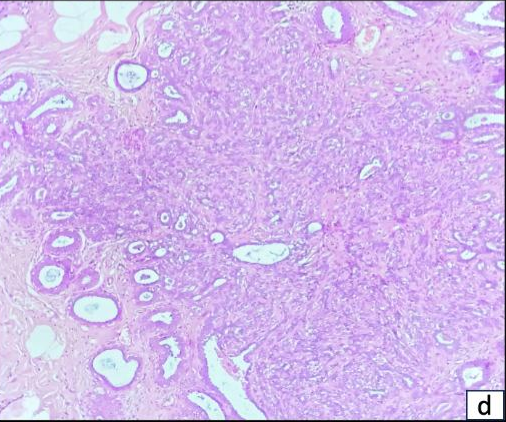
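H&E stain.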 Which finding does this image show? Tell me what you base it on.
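Sclerosing adenosis. Many small glands are crowded together. Some glands are compressed and distorted into cords. Dense pink stroma lies between the glands.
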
